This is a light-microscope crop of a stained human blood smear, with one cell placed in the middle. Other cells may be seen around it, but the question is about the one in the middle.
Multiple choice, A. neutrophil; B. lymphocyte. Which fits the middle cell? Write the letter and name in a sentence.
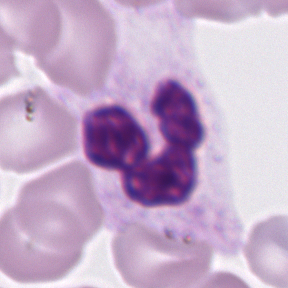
As the central cell is a neutrophil, option A is correct.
